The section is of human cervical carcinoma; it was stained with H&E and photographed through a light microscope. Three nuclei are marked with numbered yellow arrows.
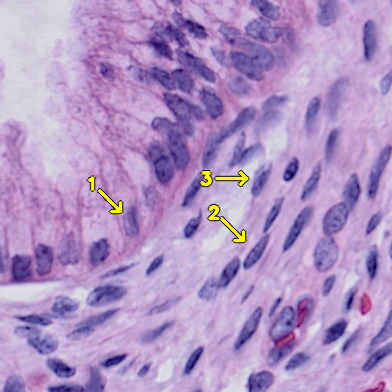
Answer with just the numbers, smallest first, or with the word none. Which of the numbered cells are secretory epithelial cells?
1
